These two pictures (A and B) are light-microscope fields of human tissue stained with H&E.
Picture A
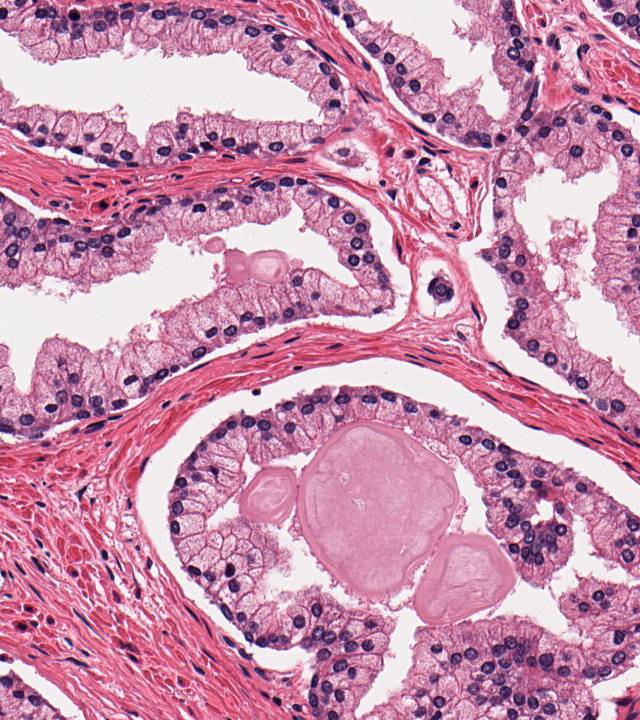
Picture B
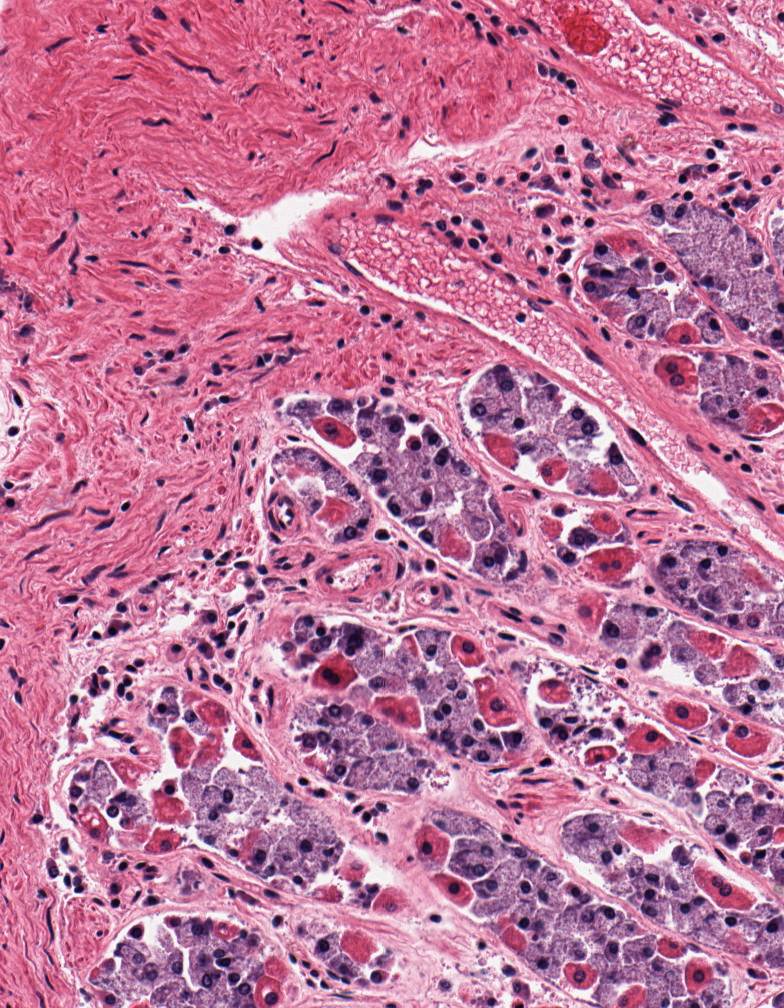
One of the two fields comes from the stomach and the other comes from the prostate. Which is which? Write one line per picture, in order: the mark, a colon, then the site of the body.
A: prostate
B: stomach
